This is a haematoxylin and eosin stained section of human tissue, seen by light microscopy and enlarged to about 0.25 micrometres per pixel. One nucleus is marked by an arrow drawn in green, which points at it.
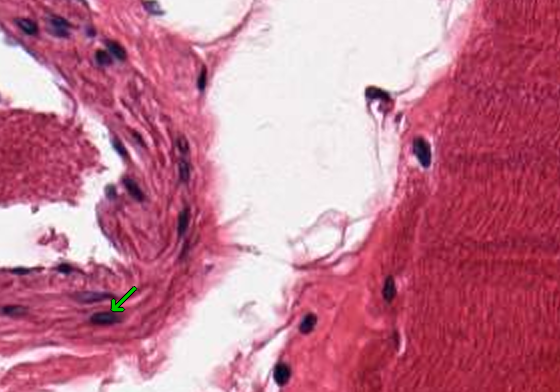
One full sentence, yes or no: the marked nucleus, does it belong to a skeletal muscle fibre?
No, the nucleus marked in this section is not that of a skeletal muscle fibre.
